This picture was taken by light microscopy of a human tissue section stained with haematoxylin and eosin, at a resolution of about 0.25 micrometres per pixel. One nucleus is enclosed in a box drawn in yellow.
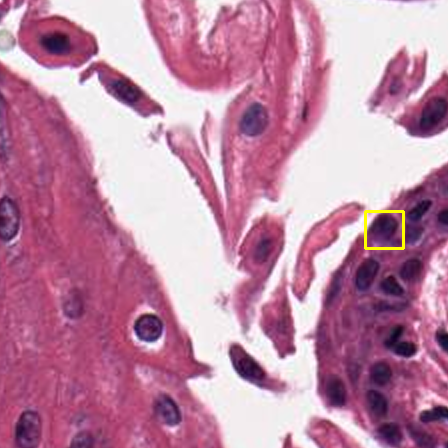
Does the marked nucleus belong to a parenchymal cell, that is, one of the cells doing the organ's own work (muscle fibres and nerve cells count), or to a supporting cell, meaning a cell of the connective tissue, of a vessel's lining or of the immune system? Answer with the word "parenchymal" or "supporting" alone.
parenchymal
